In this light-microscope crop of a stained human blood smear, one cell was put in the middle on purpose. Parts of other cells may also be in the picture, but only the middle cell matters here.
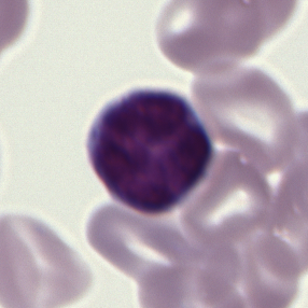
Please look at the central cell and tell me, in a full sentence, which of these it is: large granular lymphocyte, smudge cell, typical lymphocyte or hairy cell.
The cell in the exact centre of the crop is a typical lymphocyte.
